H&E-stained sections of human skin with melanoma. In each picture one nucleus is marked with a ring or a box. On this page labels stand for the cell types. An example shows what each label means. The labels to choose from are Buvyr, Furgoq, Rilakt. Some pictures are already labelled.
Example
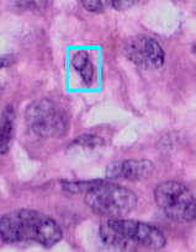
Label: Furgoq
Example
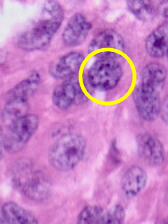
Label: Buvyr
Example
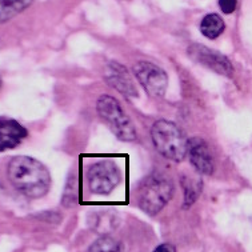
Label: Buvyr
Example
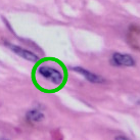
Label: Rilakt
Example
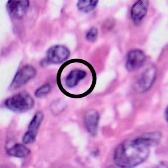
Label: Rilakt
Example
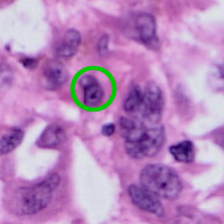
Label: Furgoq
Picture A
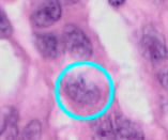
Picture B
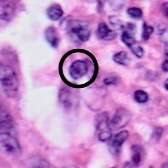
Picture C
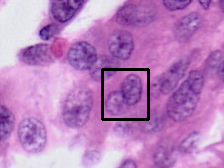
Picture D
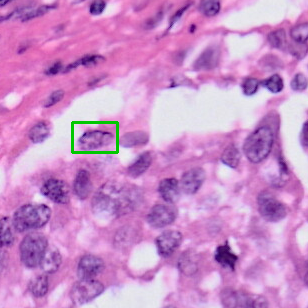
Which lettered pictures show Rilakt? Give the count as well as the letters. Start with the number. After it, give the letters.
1, namely B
